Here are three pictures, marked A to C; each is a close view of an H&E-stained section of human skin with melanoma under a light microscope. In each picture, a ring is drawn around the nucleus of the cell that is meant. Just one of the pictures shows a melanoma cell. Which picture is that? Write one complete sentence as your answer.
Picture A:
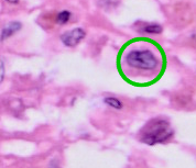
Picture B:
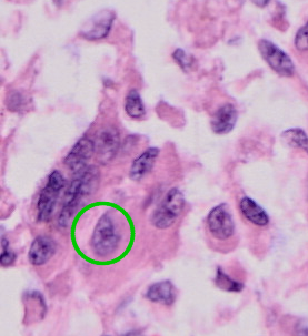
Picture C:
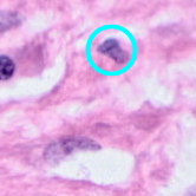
Picture B is the one that shows the melanoma cell.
